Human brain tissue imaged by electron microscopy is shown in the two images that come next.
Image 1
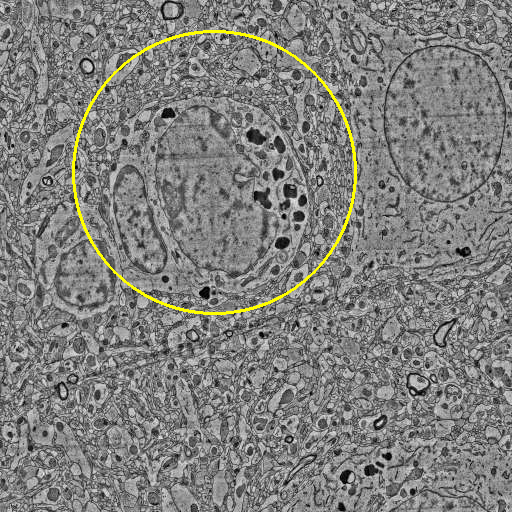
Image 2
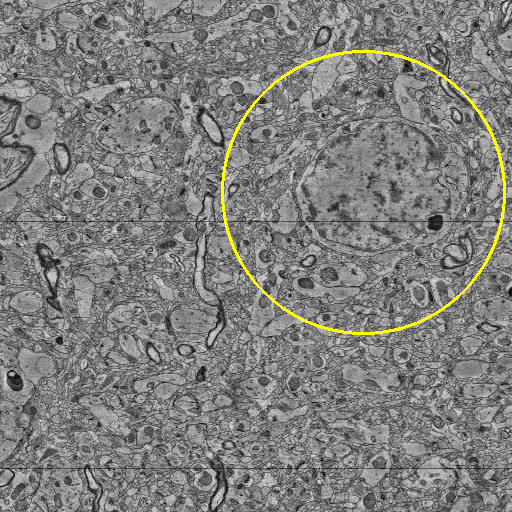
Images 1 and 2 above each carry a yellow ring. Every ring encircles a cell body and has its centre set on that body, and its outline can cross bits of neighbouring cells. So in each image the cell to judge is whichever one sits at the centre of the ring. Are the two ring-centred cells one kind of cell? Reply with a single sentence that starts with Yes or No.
Yes, in Image 1 and Image 2 the cells at the centres of their rings fall into one type.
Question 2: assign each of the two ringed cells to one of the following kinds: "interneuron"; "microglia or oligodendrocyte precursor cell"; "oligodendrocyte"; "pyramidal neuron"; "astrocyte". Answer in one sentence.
Both the first and the second picture show an interneuron in the ring.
